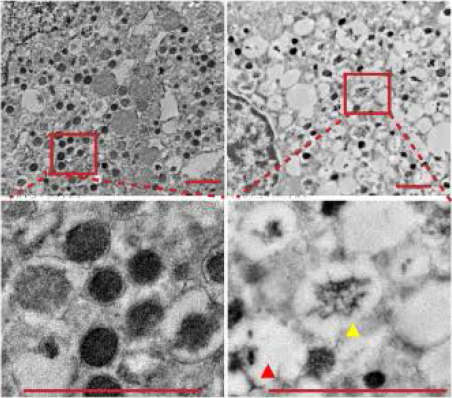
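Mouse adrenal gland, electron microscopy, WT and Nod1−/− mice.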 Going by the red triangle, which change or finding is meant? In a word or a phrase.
no noticeable dense core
